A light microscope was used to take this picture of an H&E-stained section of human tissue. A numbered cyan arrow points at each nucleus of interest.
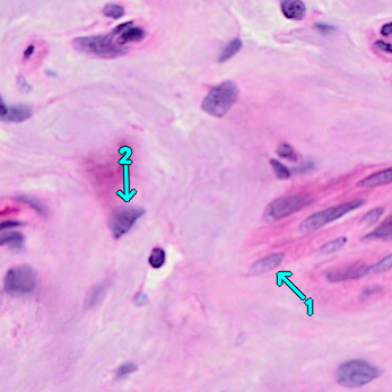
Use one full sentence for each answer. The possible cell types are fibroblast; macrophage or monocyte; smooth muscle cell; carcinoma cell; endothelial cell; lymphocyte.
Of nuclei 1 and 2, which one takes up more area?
Nucleus 2 is larger, with an area about 2 times that of nucleus 1.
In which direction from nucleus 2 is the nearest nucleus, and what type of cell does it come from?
The nearest nucleus is that of a lymphocyte and lies below and to the right of nucleus 2.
